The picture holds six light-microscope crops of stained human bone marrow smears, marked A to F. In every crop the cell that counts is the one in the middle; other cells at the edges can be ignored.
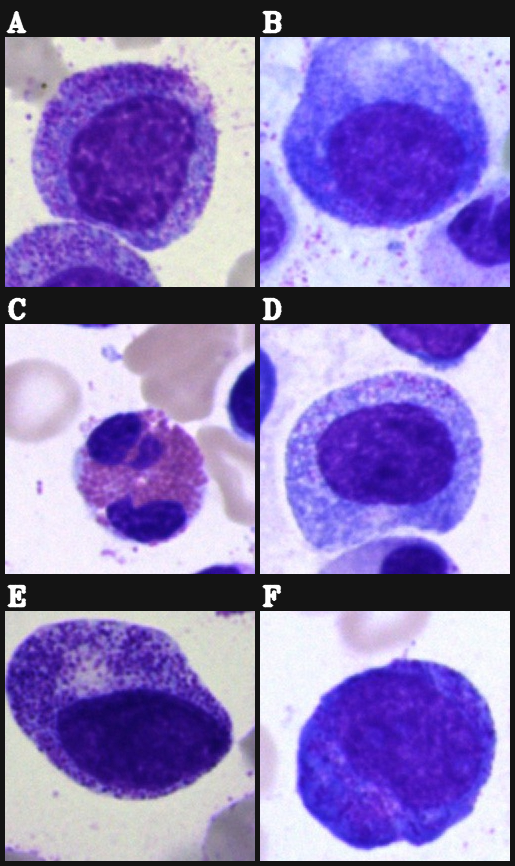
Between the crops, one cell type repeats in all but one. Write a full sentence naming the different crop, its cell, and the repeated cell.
Identified in crop C is an eosinophil, whereas the other crops all show promyelocytes.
